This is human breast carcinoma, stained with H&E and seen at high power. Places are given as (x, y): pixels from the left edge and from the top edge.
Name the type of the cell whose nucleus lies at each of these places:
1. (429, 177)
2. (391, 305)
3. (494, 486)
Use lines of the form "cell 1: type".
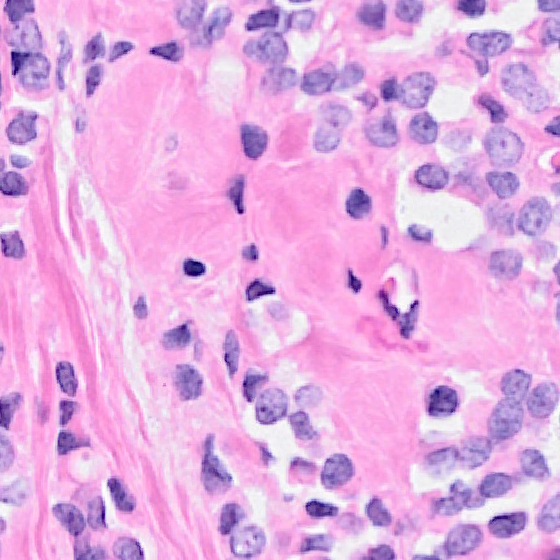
cell 1: carcinoma cell
cell 2: endothelial cell
cell 3: carcinoma cell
